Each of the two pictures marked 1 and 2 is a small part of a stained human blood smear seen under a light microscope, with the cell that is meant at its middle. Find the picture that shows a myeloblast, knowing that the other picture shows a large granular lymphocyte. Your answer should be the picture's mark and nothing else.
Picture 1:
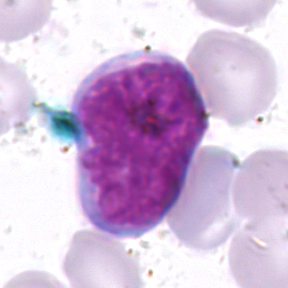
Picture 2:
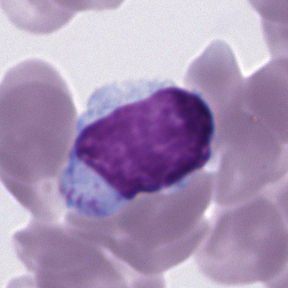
1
